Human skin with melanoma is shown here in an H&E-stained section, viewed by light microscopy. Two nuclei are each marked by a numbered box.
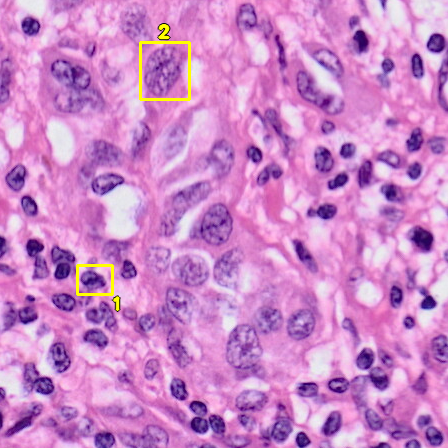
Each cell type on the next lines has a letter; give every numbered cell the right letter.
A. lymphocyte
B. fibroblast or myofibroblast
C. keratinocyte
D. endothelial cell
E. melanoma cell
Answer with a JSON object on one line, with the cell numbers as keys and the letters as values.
{"1": "A", "2": "E"}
